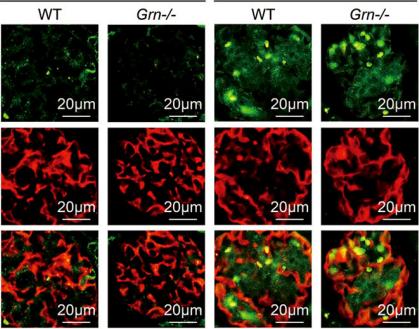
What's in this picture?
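The green signal is faint and scattered in some columns, while in others bright green-yellow dots and blobs appear within the tuft. In the merged row these bright green spots lie among and over the red bands, giving yellow where the two overlap.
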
